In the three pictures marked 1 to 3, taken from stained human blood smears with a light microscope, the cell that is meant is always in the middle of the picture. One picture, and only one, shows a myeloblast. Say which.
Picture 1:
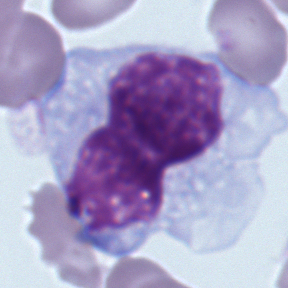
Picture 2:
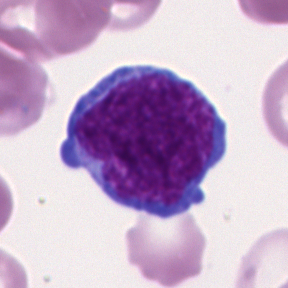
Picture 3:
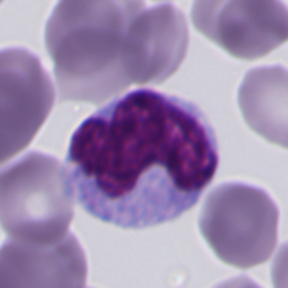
2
